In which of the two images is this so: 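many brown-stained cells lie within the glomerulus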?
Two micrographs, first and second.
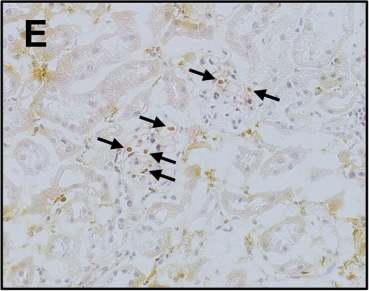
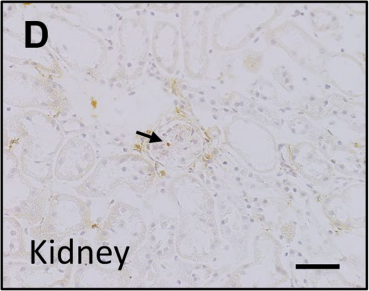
the first image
